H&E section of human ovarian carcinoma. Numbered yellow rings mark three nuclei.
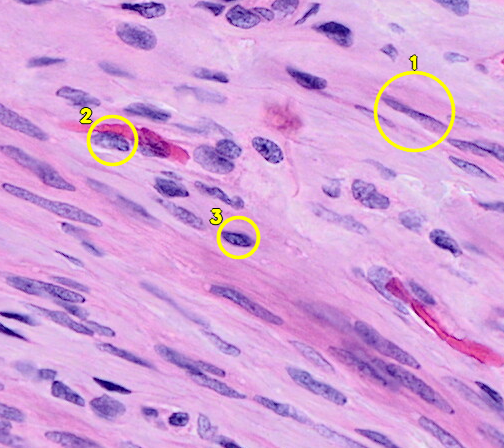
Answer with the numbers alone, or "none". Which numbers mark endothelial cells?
2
